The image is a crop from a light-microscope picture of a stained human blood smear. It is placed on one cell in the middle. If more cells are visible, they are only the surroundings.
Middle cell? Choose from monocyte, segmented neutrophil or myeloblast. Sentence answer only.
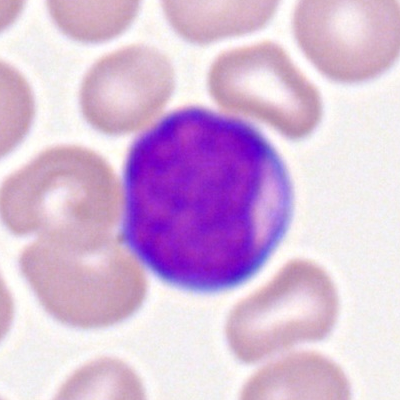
By type, the central cell of the crop is a myeloblast.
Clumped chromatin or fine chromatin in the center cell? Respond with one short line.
You can see that its chromatin is coarsely clumped.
